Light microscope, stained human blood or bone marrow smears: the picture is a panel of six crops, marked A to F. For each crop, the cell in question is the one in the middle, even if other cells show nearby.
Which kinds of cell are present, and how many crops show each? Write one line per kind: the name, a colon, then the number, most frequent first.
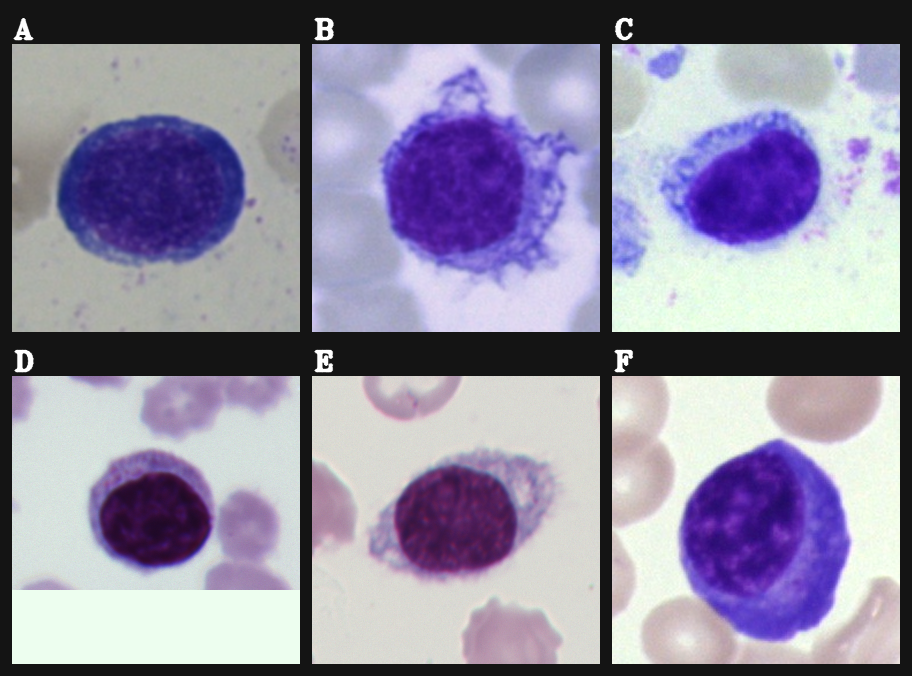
hairy cell: 3
normoblast: 2
plasma cell: 1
